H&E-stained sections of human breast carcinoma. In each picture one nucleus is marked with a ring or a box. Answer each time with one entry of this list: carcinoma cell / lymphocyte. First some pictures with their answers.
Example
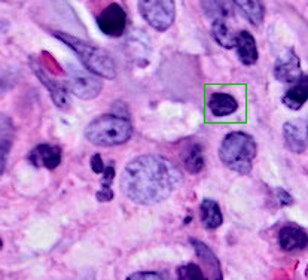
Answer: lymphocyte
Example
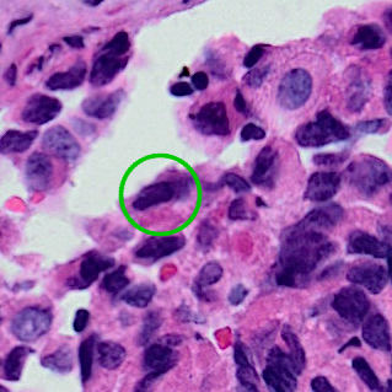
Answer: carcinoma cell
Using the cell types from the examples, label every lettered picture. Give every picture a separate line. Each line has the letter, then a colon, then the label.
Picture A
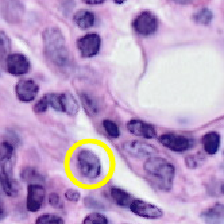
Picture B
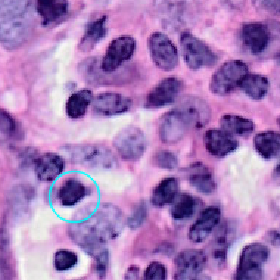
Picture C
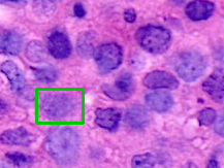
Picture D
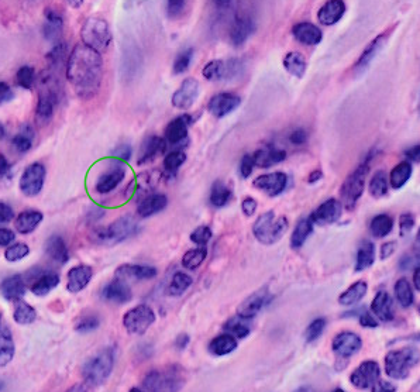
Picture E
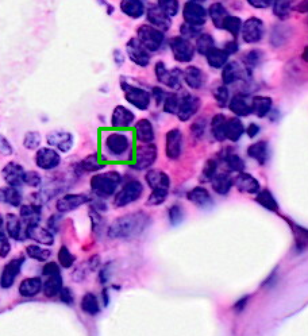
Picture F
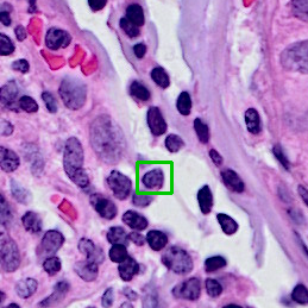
A: lymphocyte
B: lymphocyte
C: carcinoma cell
D: lymphocyte
E: lymphocyte
F: lymphocyte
